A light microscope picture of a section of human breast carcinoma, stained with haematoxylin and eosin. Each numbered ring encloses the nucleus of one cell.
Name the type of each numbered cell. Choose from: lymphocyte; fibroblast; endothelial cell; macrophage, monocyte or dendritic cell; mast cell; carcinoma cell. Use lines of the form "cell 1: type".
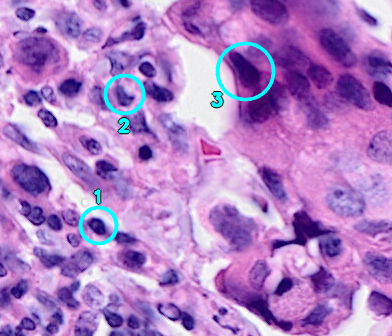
cell 1: lymphocyte
cell 2: lymphocyte
cell 3: carcinoma cell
